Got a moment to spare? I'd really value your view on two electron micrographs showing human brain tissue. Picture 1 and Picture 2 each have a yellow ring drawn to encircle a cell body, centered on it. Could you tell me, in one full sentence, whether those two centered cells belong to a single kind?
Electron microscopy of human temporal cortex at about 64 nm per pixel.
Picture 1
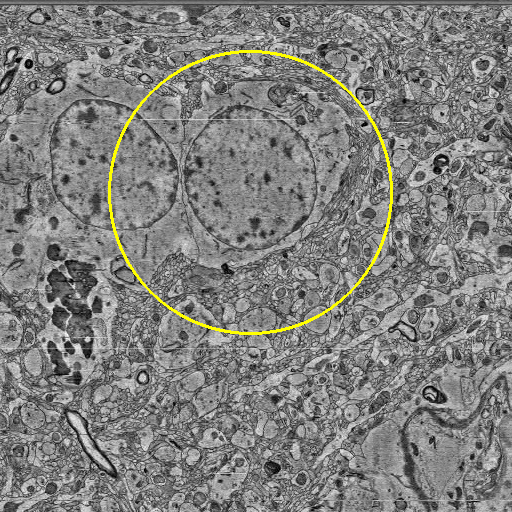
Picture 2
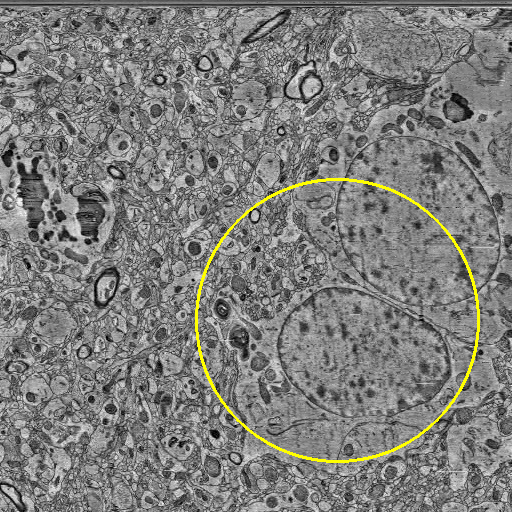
Yes, the two centered cells in Picture 1 and Picture 2 are of a single kind.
